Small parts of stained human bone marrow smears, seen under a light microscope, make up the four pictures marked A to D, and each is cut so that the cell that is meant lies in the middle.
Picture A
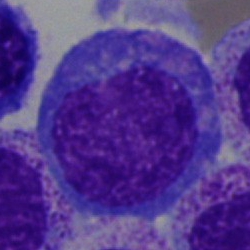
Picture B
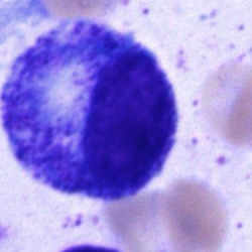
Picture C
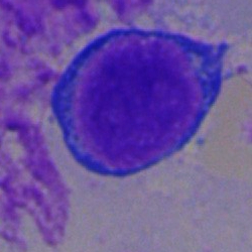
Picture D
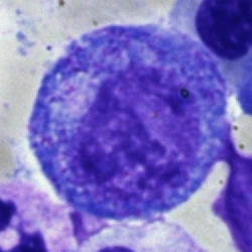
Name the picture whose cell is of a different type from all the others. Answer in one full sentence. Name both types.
All pictures except C show promyelocytes; picture C shows a proerythroblast.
